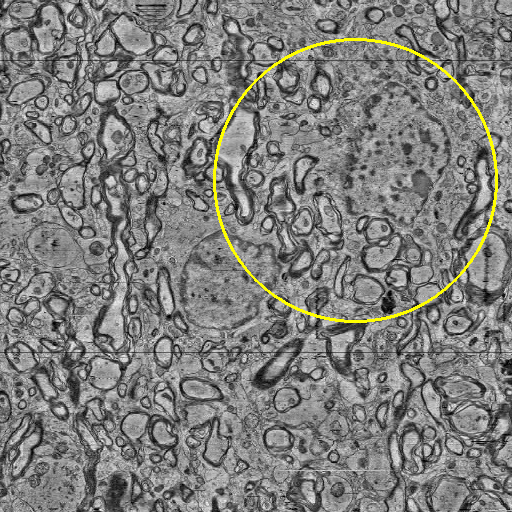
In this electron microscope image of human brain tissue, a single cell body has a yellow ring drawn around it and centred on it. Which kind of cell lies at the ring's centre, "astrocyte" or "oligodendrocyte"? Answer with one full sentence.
It is an astrocyte whose cell body lies at the centre of the yellow ring here.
